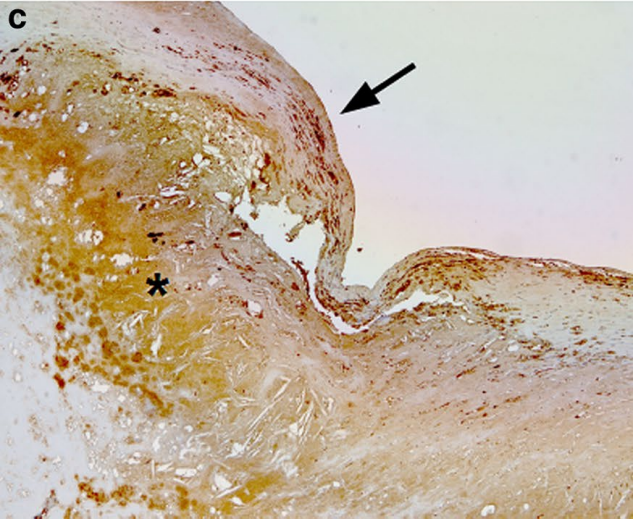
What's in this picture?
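This plaque section shows a broad, diffusely brown amorphous region deep to the luminal surface, with many dark brown rounded bodies clustered within and around it. This region is the necrotic core. Over it a thin layered cap curves toward the lumen, and dark brown elongated cells are scattered in the cap just beneath the surface. Further to the right the wall is paler and fibrous with fewer stained cells. The brown staining is thus concentrated in the core and extends up to just under the surface lining of the plaque.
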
